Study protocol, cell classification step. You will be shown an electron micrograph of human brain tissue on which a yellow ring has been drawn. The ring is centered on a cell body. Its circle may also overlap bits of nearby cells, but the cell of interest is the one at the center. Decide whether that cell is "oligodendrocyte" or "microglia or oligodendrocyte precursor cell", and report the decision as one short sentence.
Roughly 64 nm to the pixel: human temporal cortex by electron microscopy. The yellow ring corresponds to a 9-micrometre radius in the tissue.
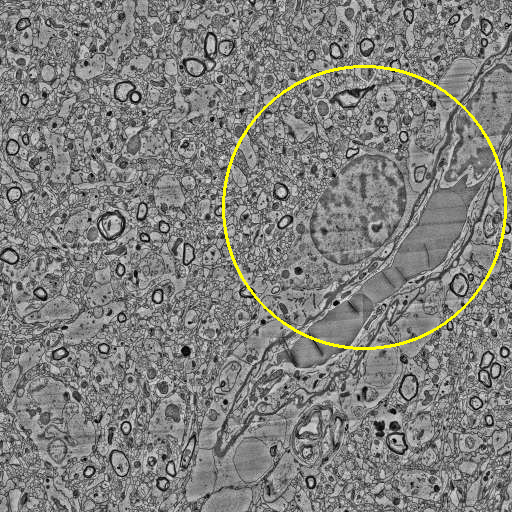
The marked cell is an oligodendrocyte.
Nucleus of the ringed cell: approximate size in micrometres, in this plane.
Approximately 7 micrometres long and 5 micrometres wide, in this plane.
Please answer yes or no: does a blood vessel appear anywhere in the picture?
Yes, the image shows a blood vessel.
